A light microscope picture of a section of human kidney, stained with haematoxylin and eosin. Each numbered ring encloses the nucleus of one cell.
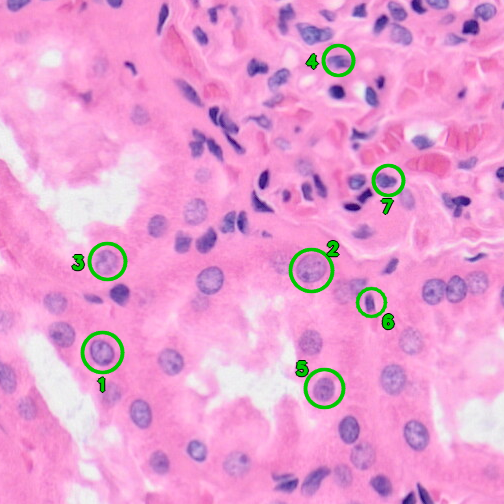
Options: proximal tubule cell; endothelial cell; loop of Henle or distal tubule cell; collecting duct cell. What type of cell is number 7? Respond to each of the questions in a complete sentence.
Number 7 among the marked cells is an endothelial cell.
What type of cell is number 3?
Among the marked nuclei, number 3 belongs to a proximal tubule cell.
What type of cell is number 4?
The cell tagged with 4 in this tissue section is an endothelial cell.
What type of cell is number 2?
The numbered cell 2 in this field is a proximal tubule cell.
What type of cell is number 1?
The correct label for cell 1 is a proximal tubule cell.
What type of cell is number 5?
The numbered cell 5 in this field is a proximal tubule cell.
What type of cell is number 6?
In this section, number 6 marks an endothelial cell.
